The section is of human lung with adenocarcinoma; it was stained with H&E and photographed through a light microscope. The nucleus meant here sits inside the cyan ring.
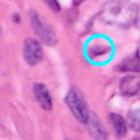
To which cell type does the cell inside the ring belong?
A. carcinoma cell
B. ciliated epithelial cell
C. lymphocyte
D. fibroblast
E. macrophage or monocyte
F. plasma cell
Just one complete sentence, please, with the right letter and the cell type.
In short, option B: the cell inside the ring is a ciliated epithelial cell.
